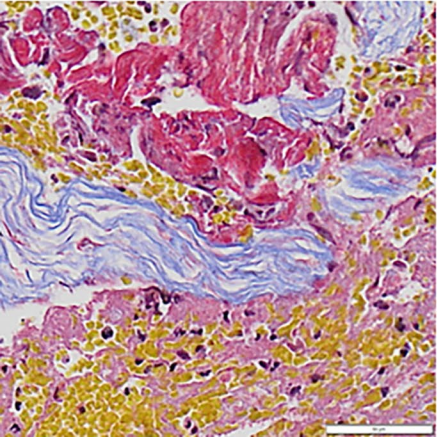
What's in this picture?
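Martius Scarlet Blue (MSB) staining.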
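This is a blood clot-like mass with red blood cells, fibrin, collagen and scattered white blood cells. Sheets of small round cells without nuclei, stained golden yellow, fill much of the left and lower field; these are red blood cells. A broad band of wavy, pale blue fibres crosses from the left edge toward the centre, collagen. Small dark blue-purple nuclei are scattered among the yellow cells and at the edges of the red masses, marking white blood cells. Paler pinkish areas lie between these components.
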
